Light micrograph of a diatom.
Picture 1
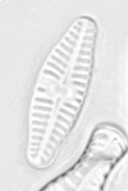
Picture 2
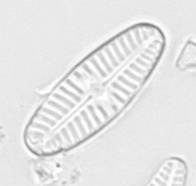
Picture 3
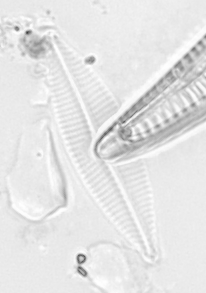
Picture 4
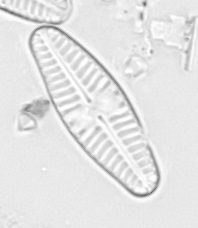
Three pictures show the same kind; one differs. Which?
Picture 3: Navicula, while the others are Planothidium.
